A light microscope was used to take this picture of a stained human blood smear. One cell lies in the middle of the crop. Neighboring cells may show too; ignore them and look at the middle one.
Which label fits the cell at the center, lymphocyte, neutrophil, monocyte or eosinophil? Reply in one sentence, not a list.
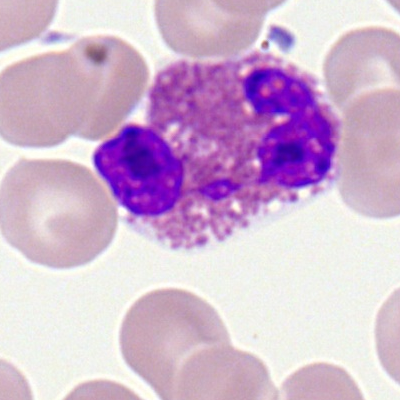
For this crop, the cell in the middle is an eosinophil.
